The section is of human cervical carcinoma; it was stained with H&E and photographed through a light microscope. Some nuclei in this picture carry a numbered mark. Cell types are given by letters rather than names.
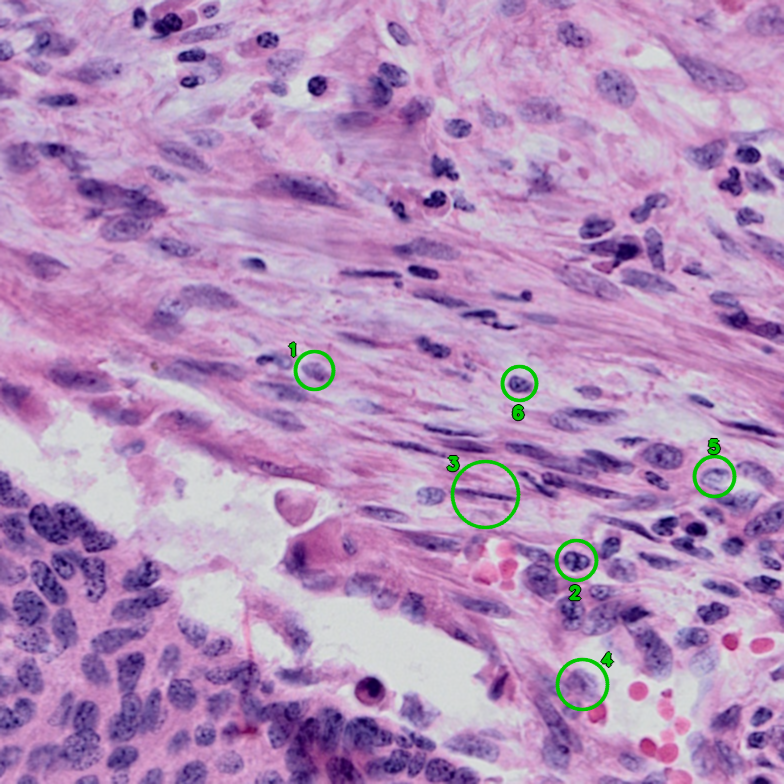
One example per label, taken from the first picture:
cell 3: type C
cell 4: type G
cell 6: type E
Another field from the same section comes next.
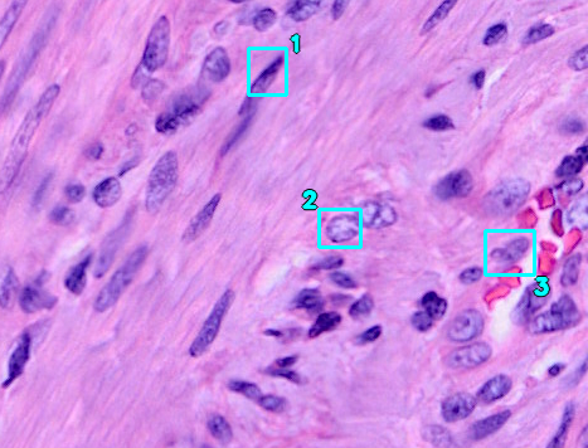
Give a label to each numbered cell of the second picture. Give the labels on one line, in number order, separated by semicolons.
type C; type G; type G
